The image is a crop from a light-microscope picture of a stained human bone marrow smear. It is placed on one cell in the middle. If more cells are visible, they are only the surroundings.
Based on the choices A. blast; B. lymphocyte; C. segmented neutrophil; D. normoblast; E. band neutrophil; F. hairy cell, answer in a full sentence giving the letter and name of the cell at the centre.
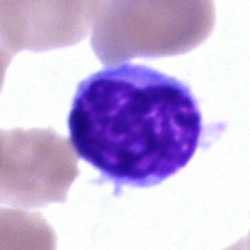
The cell right in the middle is a hairy cell, so option F is the one.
